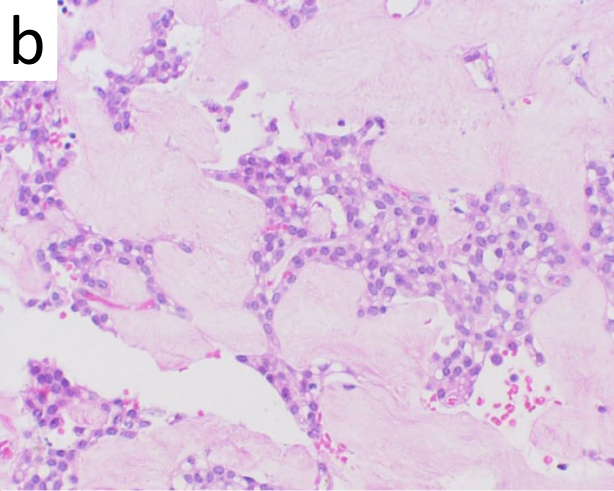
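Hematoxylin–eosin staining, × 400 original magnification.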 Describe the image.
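Vitrified tissue with areas of uniform tumor cells. Broad, pale pink, glassy and largely acellular masses fill much of the field, separated by narrow branching cords and small nests of cells. The cells in the cords look alike: small to medium, with round, evenly dark purple nuclei and a modest rim of pale pink to clear cytoplasm. Scattered red blood cells and small clear spaces lie between the cords, and some cords border open, empty spaces.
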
